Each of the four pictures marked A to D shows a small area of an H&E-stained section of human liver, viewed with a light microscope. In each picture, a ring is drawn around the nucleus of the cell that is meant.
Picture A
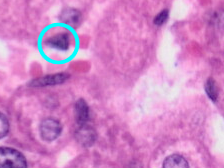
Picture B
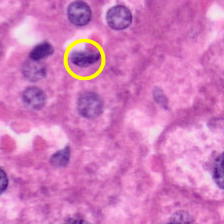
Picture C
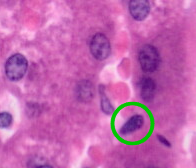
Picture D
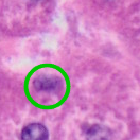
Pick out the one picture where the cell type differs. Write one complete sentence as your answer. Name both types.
All pictures except C show endothelial cells; picture C shows a “fibroblast or stellate cell”.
